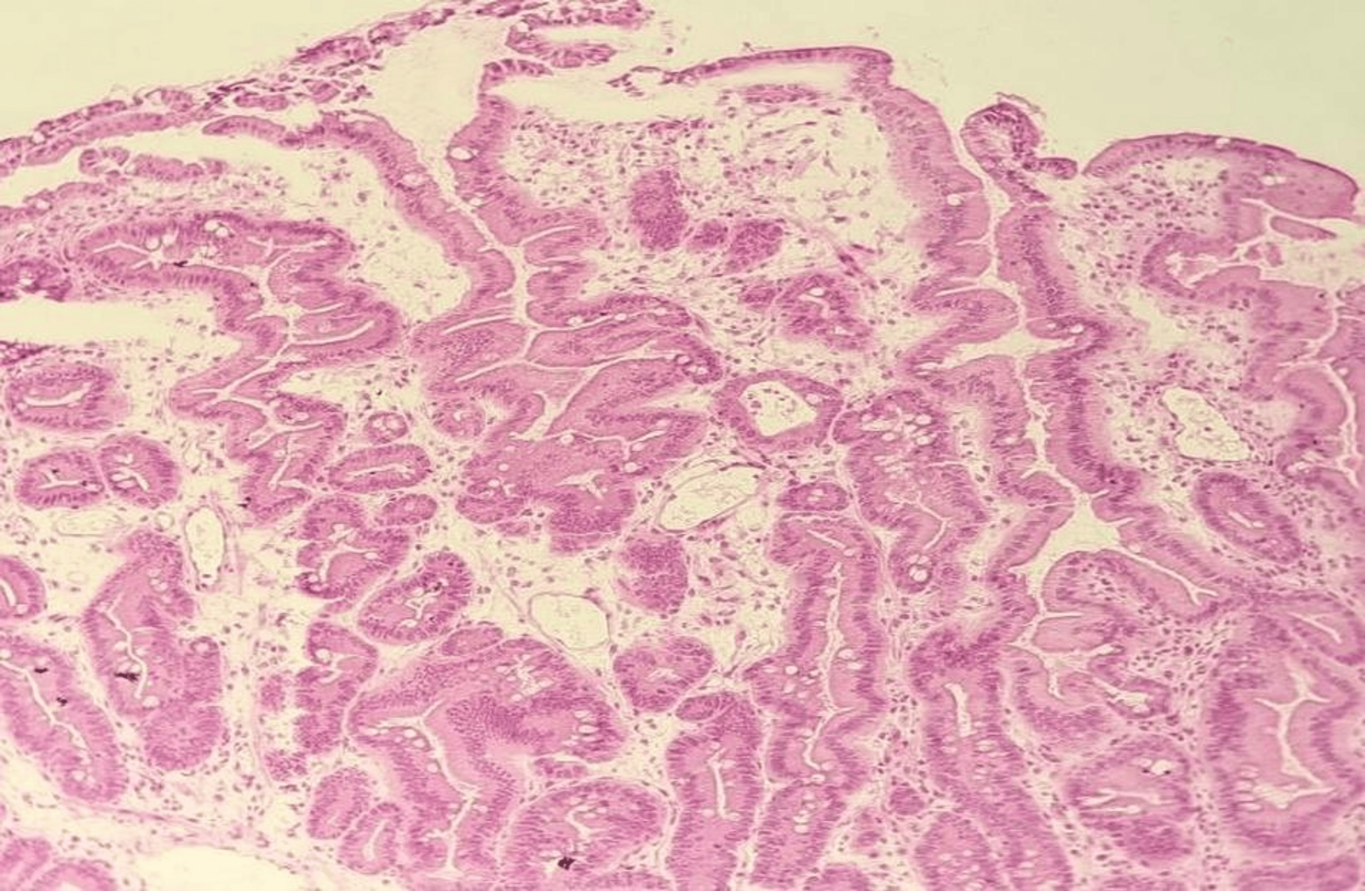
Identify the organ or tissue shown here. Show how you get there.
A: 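Crowded, convoluted glands with serrated, slit-like lumens. The epithelium is tall and columnar, with closely packed, elongated nuclei. Loose, pale stroma lies between the glands. So: traditional serrated adenoma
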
